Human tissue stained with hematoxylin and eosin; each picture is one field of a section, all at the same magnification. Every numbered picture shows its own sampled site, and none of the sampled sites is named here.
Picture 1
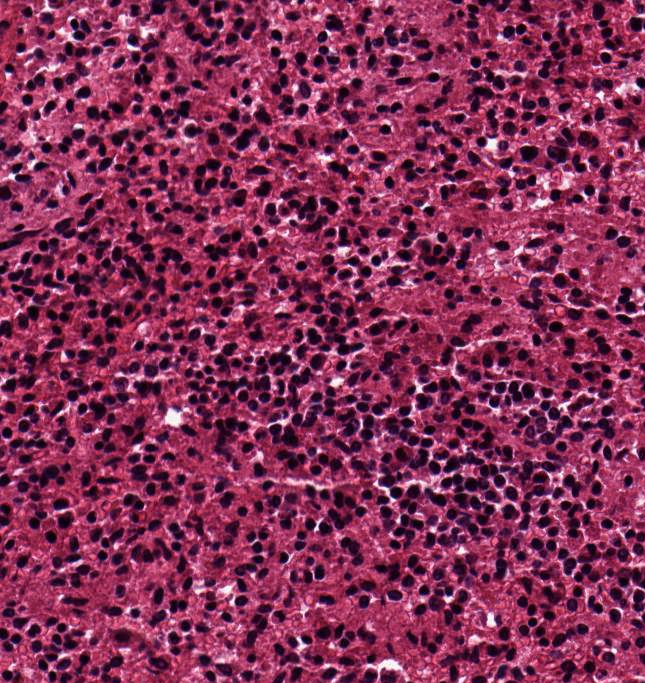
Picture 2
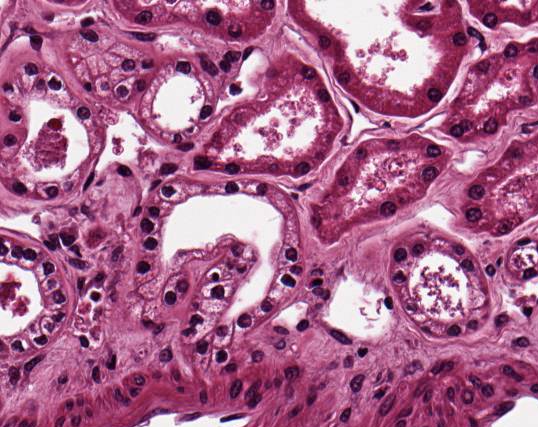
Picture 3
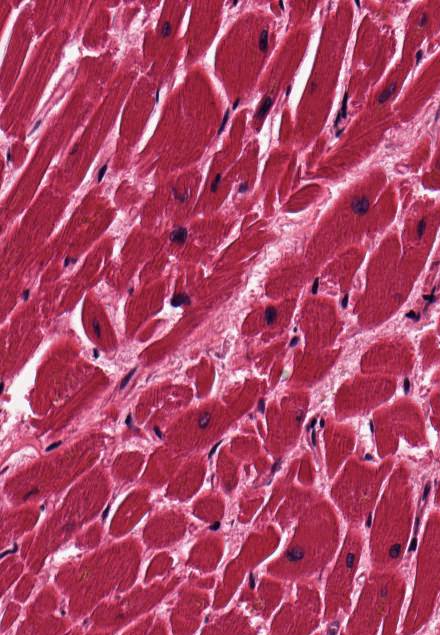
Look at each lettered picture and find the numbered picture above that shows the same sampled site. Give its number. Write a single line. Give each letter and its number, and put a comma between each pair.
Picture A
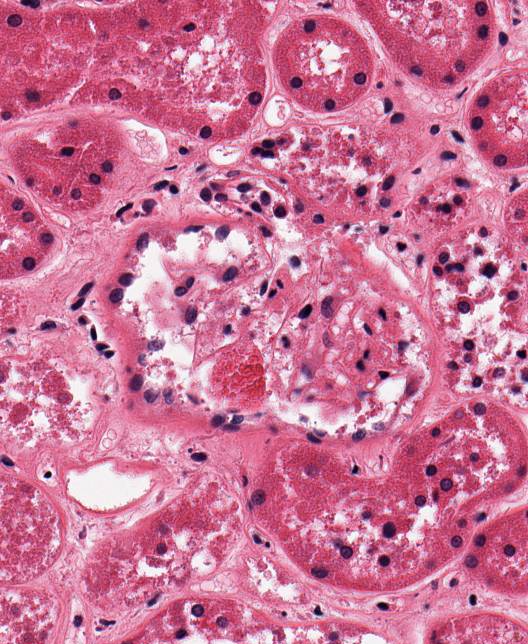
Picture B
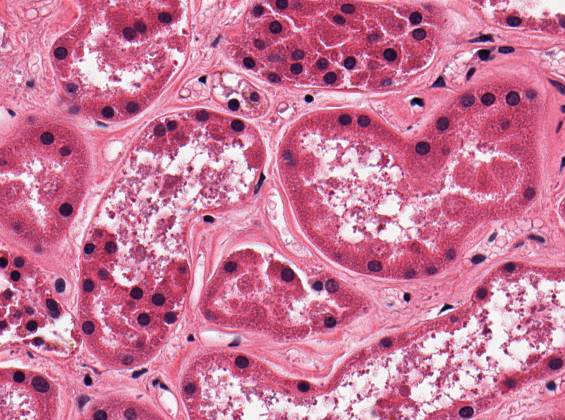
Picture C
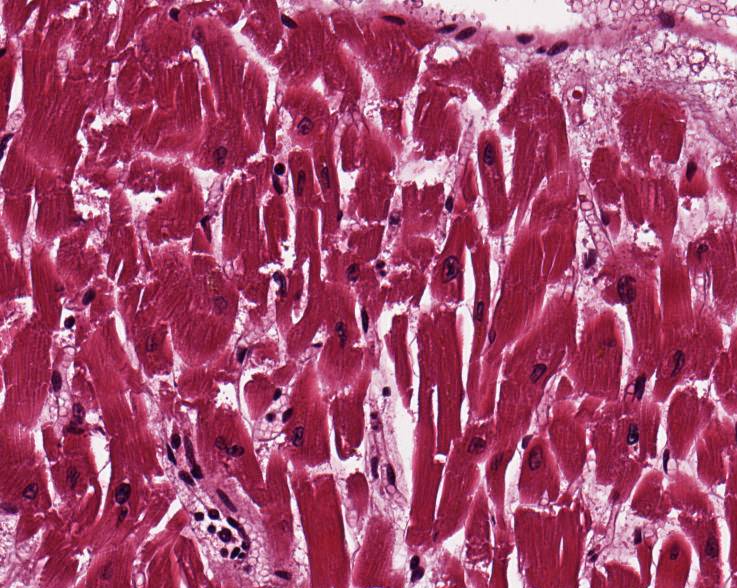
A 2, B 2, C 3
